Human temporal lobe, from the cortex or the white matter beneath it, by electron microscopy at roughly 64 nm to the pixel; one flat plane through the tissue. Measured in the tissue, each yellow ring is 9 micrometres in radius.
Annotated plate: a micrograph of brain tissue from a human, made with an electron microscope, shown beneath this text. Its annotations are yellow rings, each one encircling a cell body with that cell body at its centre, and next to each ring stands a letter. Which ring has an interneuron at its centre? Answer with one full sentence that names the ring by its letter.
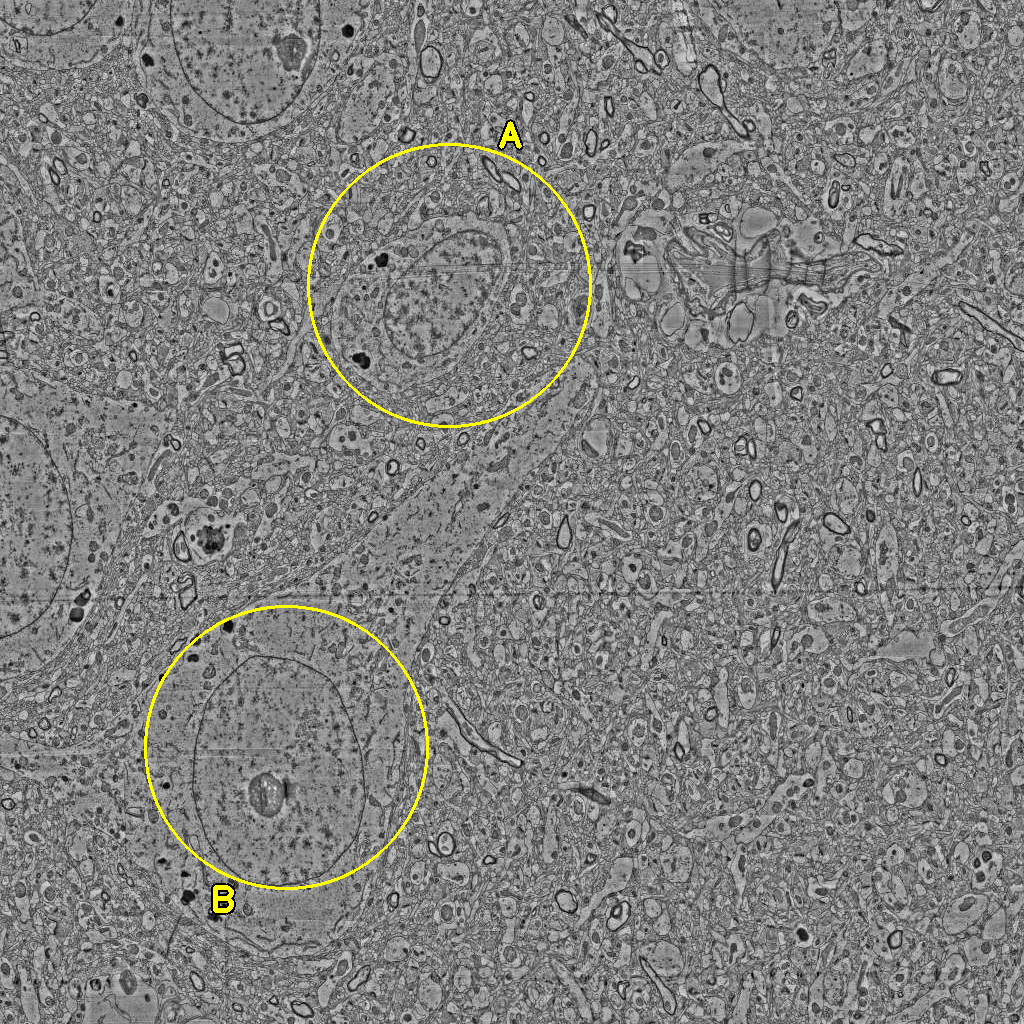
In the plate, ring A is the one centred on a cell of that kind.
